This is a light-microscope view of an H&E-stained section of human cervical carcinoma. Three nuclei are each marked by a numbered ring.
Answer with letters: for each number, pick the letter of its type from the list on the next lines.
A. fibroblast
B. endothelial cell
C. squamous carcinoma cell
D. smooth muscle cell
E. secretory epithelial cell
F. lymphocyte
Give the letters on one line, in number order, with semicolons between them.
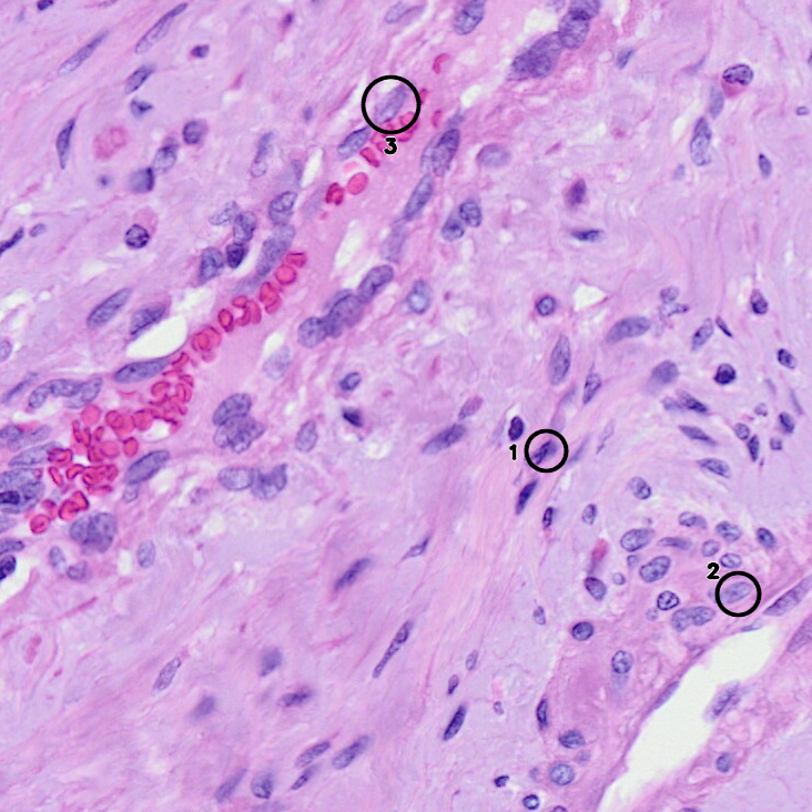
B; D; B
